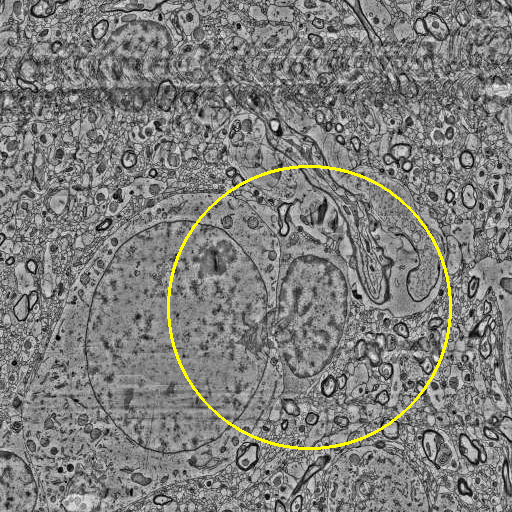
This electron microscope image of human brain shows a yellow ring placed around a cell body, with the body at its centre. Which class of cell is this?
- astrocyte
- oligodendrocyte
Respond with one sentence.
The cell body at the ring's centre is an oligodendrocyte.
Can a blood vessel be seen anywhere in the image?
Yes.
